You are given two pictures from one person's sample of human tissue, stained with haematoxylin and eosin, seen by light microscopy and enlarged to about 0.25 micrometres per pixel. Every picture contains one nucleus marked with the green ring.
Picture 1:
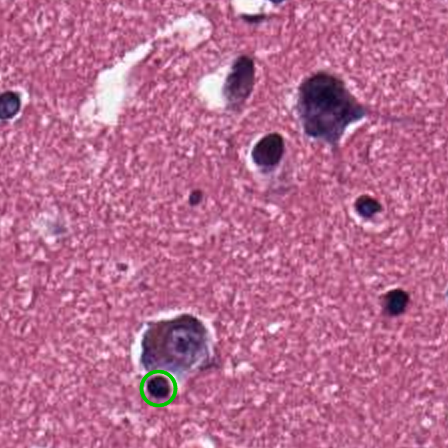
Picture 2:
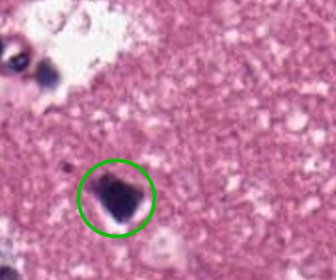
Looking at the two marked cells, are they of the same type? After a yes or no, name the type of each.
No, the first is an oligodendrocyte and the second a neuron.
